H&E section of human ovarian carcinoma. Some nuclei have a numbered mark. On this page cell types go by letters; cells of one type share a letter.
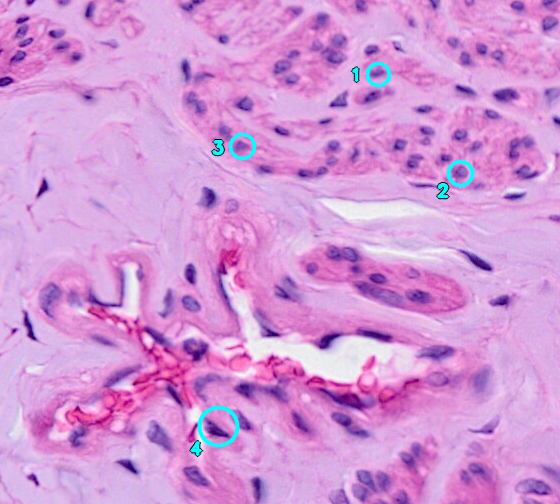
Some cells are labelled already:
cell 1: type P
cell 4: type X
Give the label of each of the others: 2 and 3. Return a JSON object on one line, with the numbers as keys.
{"2": "type P", "3": "type P"}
